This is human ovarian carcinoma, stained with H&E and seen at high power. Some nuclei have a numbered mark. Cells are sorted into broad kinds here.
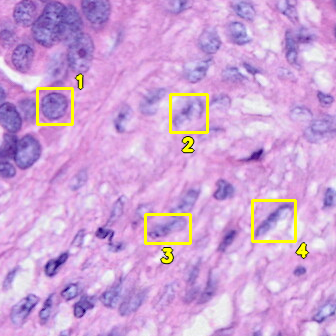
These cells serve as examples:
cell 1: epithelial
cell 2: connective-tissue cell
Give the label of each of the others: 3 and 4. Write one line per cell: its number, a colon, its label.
3: connective-tissue cell
4: connective-tissue cell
